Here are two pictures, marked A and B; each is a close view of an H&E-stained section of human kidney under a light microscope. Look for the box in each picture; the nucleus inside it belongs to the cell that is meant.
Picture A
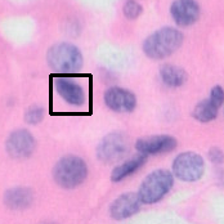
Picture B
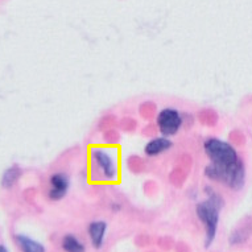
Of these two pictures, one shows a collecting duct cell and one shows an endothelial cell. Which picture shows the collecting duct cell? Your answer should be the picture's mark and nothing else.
A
